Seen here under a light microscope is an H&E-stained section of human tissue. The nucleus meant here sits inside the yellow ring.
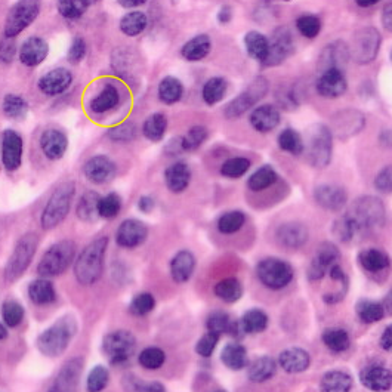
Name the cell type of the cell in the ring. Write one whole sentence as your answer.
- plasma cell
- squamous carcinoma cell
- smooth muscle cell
Speaking plainly, the cell in the ring is nothing other than a plasma cell.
